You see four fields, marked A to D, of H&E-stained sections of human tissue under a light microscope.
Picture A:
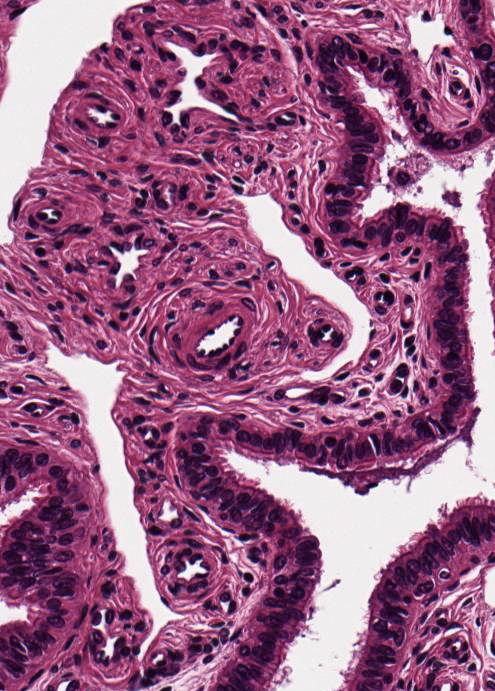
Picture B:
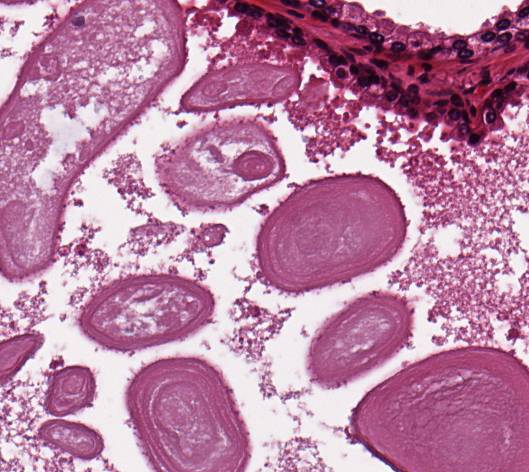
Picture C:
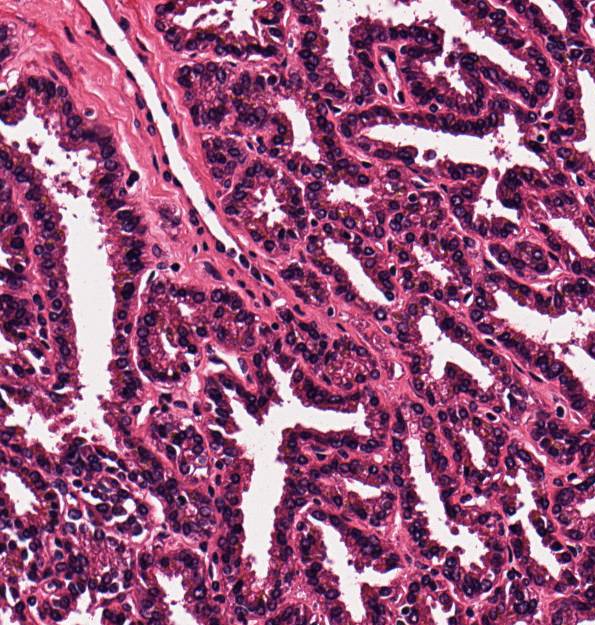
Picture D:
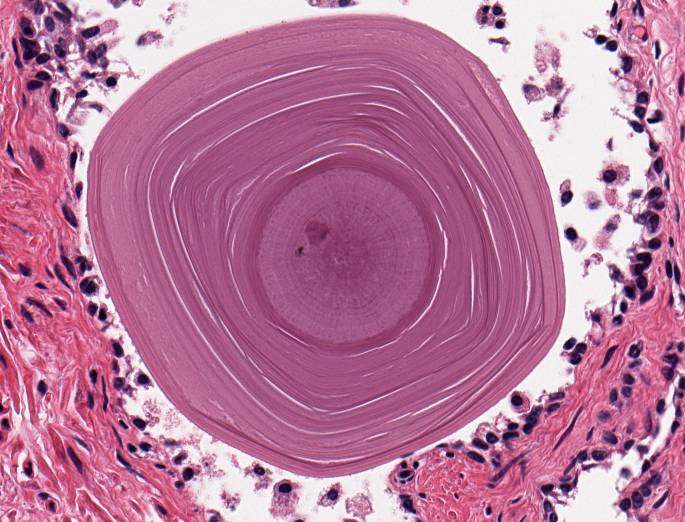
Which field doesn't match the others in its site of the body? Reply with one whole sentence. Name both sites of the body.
All pictures except A come from the prostate; picture A comes from the fallopian tube.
